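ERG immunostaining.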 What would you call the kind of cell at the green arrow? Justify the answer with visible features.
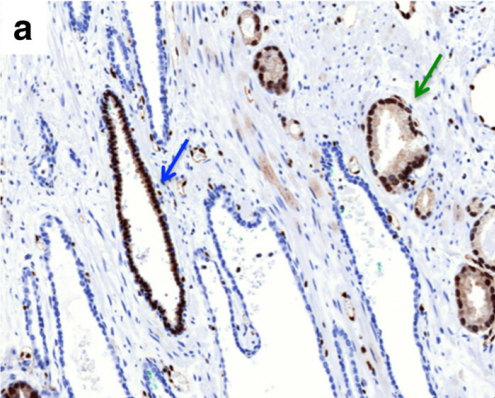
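Cancer cells. The arrow points at a small rounded gland apart from the long ducts.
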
